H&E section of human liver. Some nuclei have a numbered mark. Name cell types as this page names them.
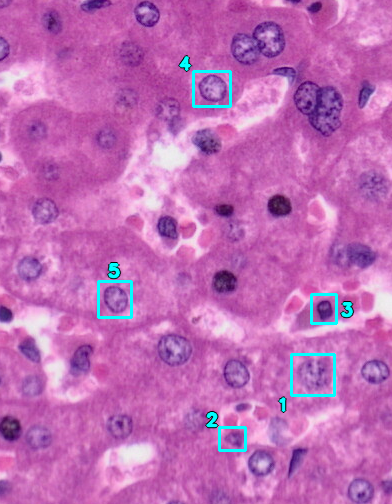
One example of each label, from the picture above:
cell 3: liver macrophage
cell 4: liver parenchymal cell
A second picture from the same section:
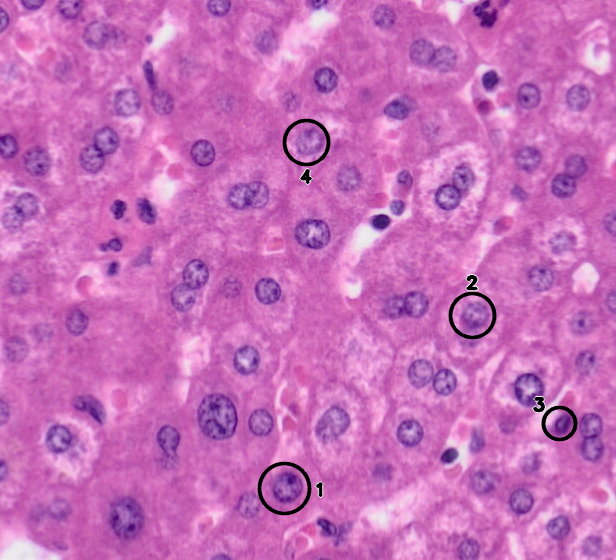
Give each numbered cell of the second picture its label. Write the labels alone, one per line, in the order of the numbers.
liver parenchymal cell
liver parenchymal cell
liver macrophage
liver parenchymal cell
